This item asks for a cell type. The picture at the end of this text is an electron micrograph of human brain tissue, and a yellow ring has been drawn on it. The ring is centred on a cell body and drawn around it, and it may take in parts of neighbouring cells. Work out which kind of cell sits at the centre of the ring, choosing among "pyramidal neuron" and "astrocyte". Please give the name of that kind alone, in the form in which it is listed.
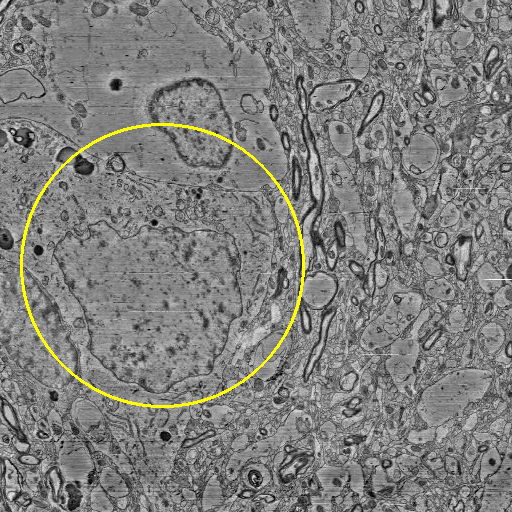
pyramidal neuron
